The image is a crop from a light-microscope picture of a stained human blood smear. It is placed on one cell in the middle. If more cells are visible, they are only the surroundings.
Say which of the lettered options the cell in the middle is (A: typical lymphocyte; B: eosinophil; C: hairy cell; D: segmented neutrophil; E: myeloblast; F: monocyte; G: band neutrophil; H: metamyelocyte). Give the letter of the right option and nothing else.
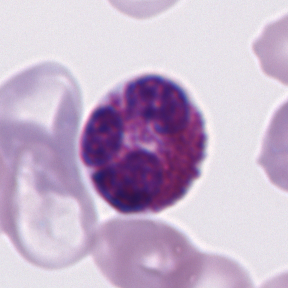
B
